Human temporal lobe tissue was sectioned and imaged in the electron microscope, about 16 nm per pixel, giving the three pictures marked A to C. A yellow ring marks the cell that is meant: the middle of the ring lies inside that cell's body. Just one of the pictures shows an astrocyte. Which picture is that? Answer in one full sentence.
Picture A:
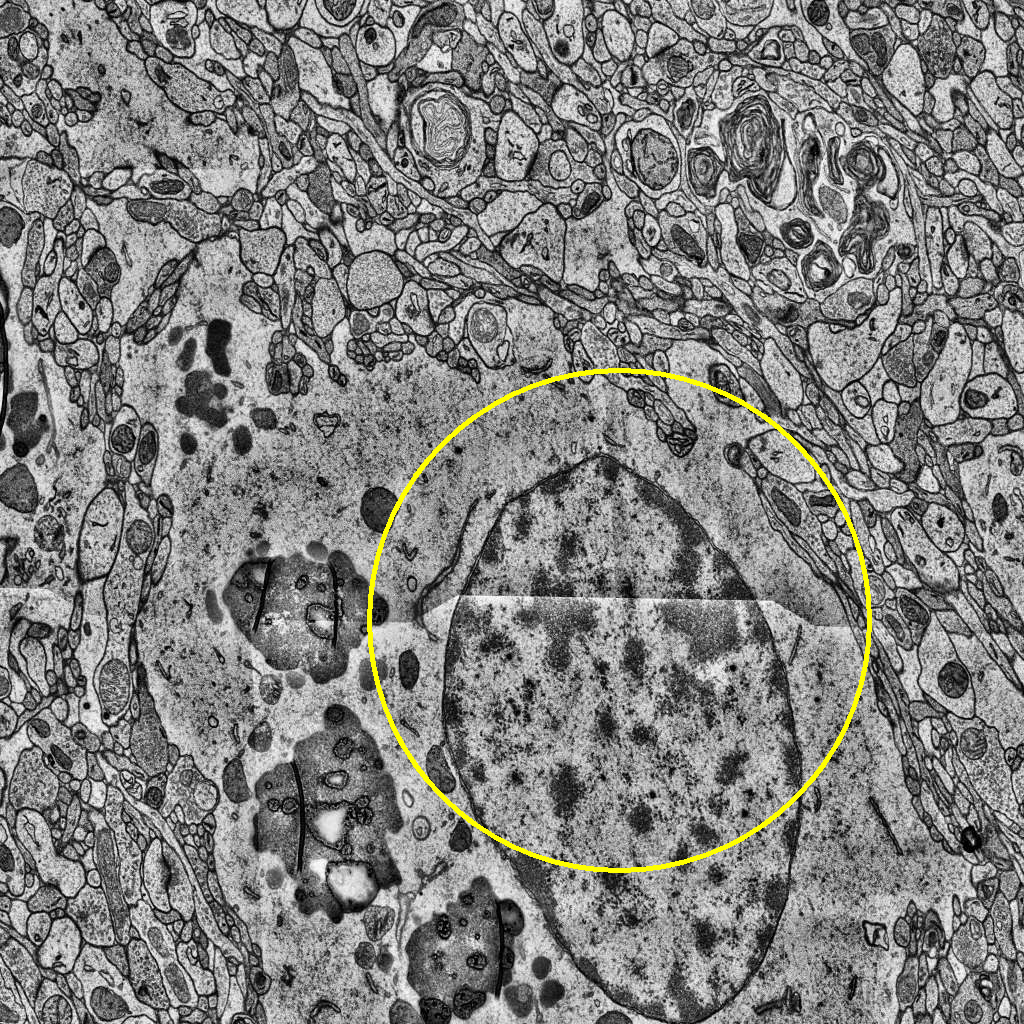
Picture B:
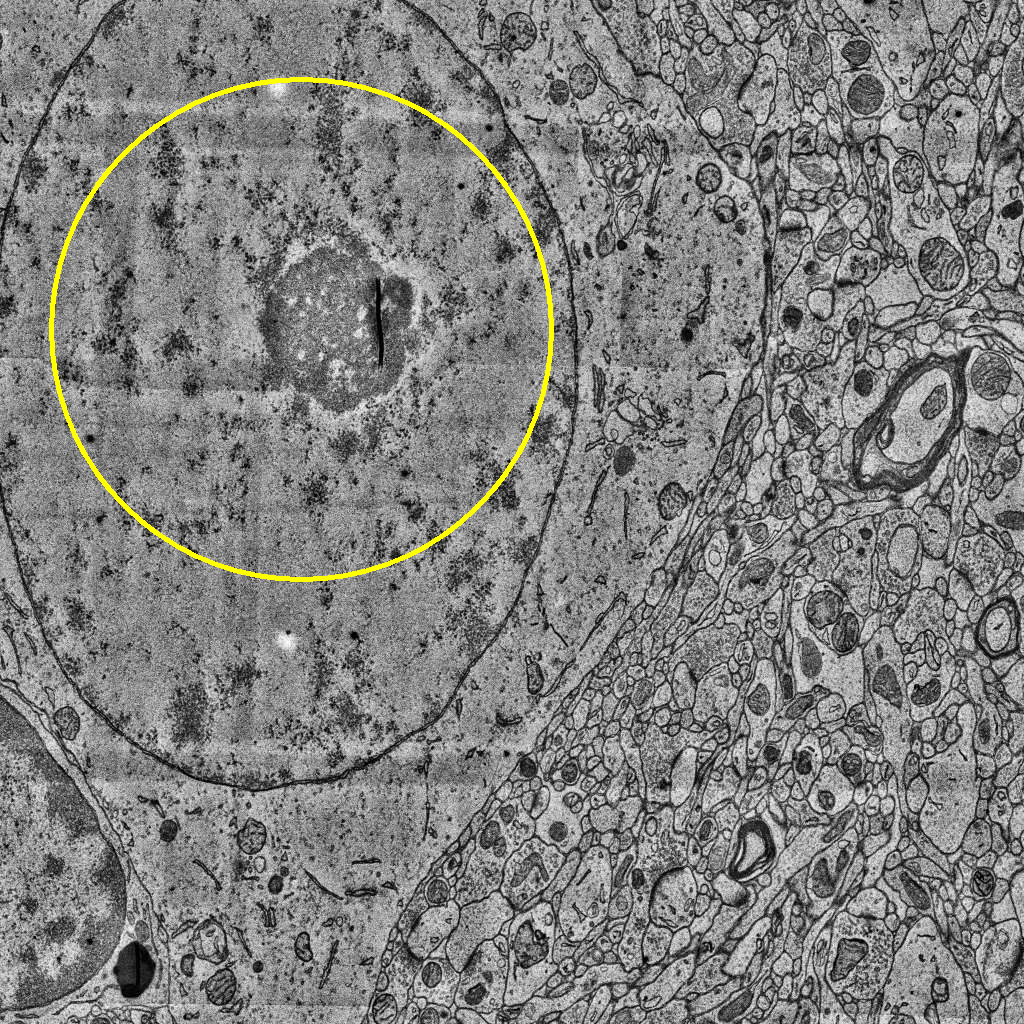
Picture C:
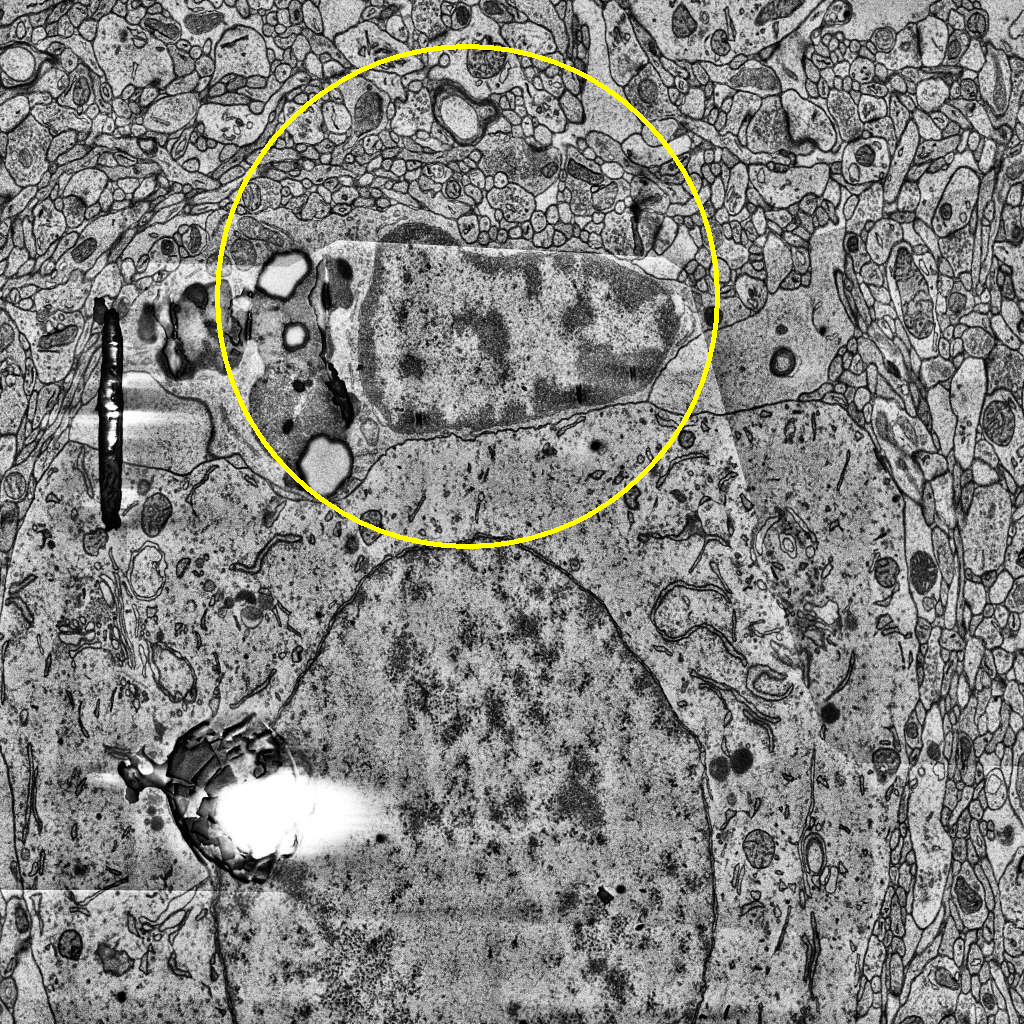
Picture A shows the astrocyte.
